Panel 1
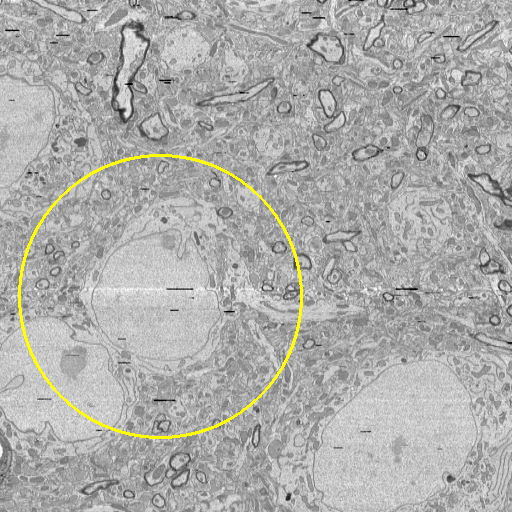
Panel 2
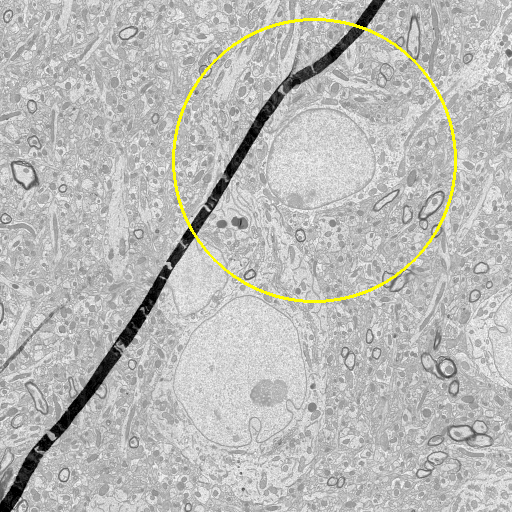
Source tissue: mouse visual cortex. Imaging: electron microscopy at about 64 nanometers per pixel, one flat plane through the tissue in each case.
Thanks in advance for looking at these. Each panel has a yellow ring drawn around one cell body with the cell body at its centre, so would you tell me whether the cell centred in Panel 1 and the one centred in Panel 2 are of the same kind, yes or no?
no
